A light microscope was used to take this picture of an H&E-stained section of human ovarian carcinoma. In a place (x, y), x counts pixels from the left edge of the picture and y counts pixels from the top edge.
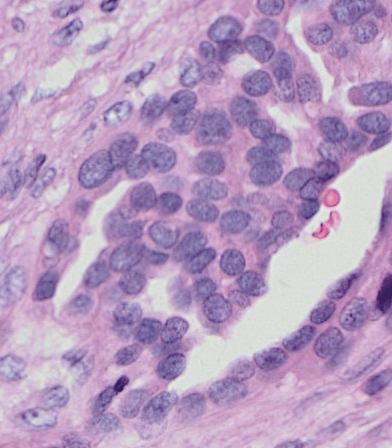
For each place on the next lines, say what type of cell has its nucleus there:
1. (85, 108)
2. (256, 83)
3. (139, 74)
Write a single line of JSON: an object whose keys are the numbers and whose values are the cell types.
{"1": "fibroblast", "2": "carcinoma cell", "3": "fibroblast"}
